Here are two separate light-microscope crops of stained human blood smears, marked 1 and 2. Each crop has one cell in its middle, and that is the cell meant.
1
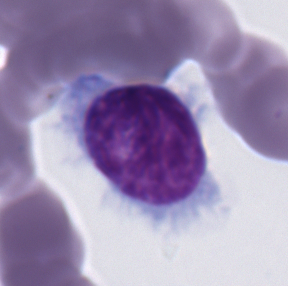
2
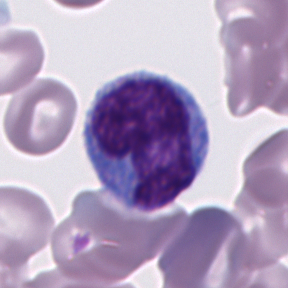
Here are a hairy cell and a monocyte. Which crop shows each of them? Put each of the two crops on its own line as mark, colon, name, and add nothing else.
1: hairy cell
2: monocyte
